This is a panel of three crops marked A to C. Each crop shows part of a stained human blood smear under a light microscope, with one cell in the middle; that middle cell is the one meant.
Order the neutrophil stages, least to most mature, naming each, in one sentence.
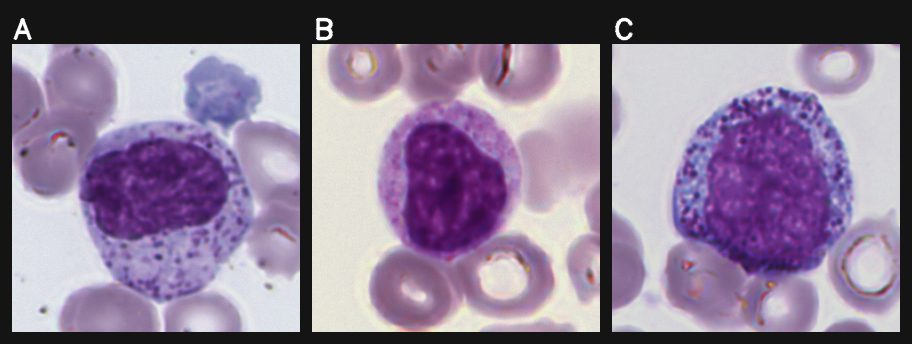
From least to most mature, the order is crop C (a promyelocyte), crop A (a myelocyte) and crop B (a metamyelocyte).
